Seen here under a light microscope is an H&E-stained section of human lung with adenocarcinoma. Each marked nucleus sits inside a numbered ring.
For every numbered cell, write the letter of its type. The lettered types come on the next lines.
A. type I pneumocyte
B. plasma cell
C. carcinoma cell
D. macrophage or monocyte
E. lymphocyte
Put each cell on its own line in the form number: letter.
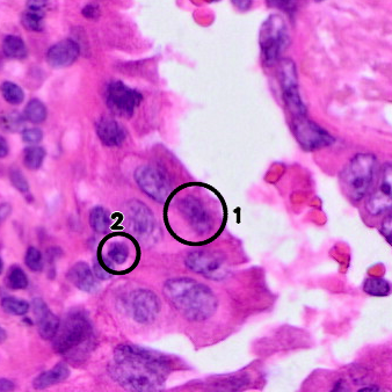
1: C
2: E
